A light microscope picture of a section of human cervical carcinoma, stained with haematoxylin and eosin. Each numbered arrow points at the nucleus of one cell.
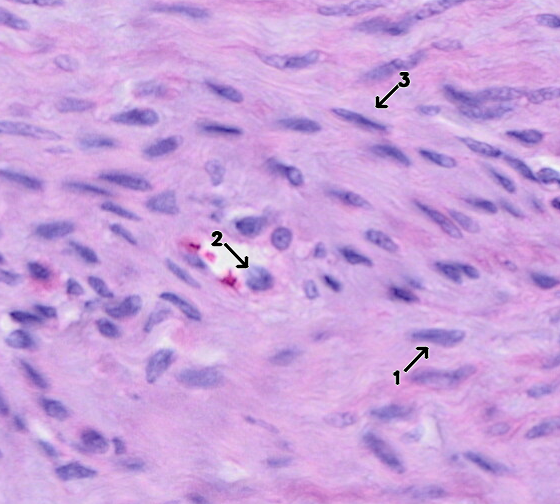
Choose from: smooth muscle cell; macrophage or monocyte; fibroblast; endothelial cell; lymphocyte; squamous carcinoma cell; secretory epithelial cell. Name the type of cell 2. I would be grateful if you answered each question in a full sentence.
Numbered cell 2 is an endothelial cell in this tissue section.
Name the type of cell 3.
The cell carrying label 3 is identified as a fibroblast.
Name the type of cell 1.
The numbered cell 1 in this field is a fibroblast.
